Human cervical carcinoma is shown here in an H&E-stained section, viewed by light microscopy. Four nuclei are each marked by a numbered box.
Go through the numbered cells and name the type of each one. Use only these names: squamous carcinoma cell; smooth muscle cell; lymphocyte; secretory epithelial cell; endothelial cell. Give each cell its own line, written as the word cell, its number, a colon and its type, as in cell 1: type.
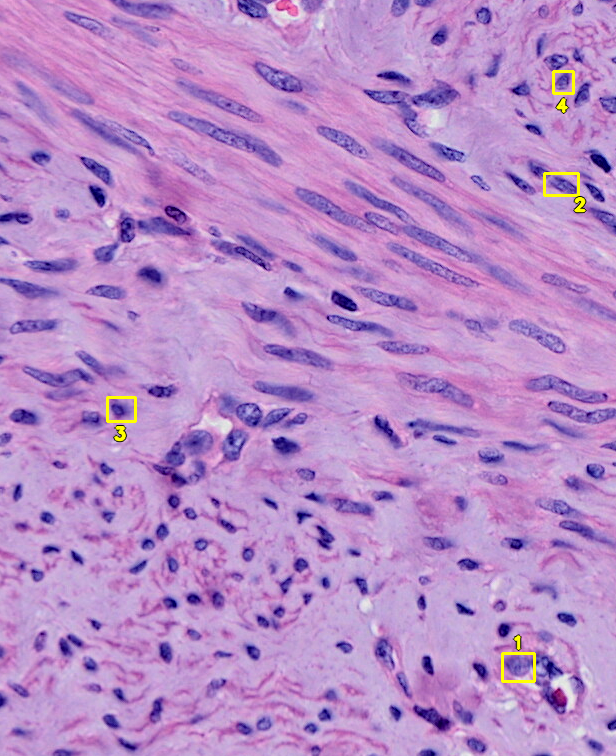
cell 1: endothelial cell
cell 2: smooth muscle cell
cell 3: smooth muscle cell
cell 4: smooth muscle cell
